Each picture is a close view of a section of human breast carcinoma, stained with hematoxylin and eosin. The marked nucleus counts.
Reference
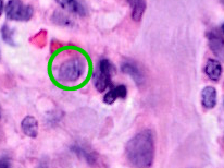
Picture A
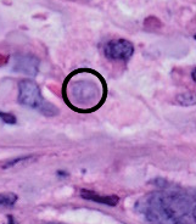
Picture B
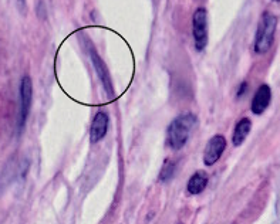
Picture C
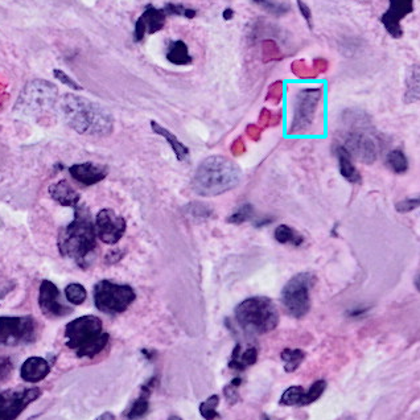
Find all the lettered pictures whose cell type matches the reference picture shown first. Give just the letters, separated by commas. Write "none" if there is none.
A, C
